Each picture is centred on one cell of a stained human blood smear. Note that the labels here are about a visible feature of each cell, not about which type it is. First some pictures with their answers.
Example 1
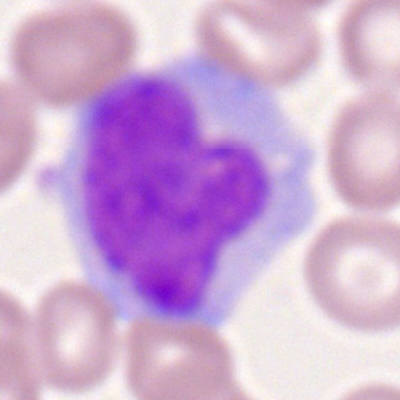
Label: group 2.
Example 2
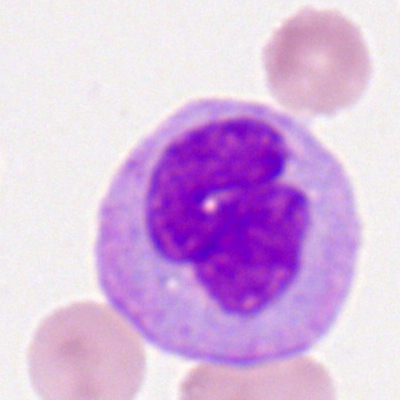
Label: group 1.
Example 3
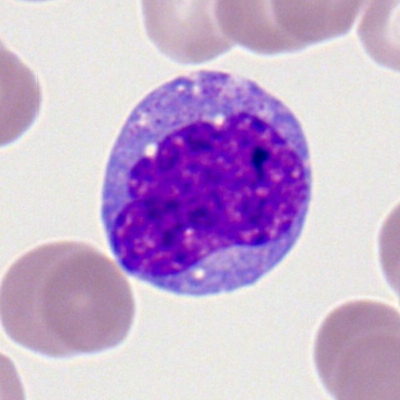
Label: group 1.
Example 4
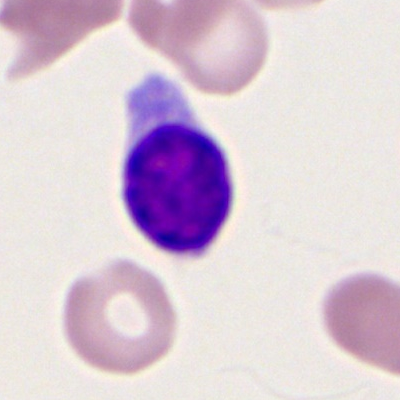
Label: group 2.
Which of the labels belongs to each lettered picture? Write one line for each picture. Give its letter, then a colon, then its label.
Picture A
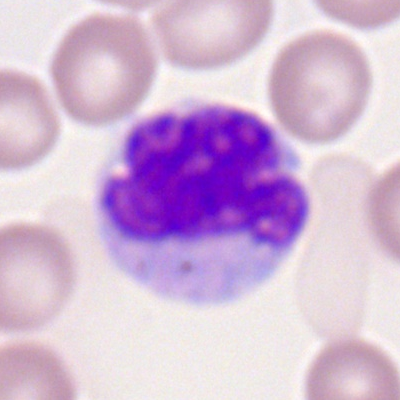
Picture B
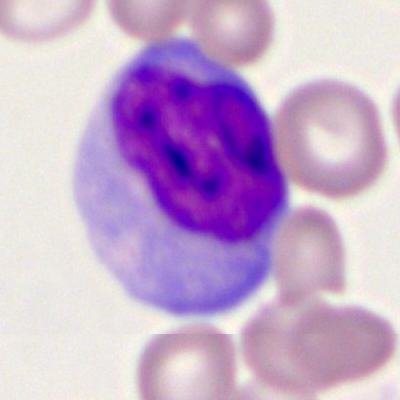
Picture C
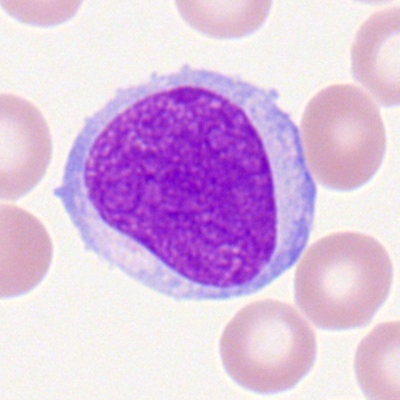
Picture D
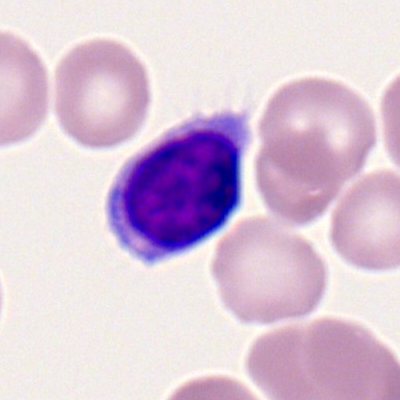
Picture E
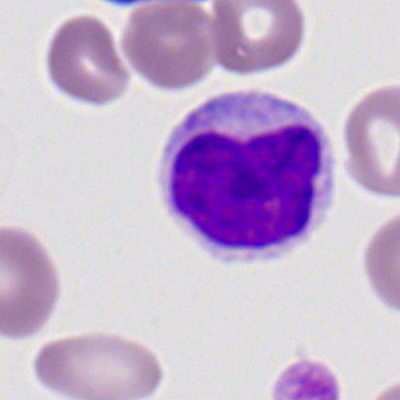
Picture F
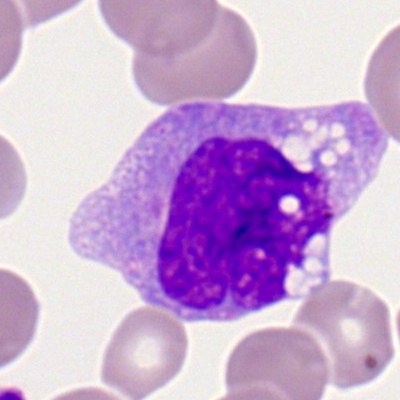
A: group 1.
B: group 1.
C: group 2.
D: group 2.
E: group 1.
F: group 2.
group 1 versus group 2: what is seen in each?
group 1: smooth outline; group 2: ragged outline or projections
